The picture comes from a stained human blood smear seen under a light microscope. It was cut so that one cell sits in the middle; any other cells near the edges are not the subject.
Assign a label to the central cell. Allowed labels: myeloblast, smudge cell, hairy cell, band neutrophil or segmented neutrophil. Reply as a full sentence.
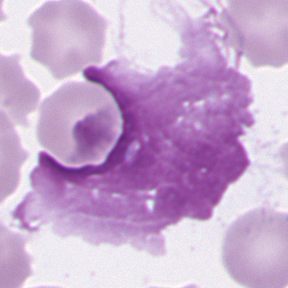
Positioned in the middle of the crop is a smudge cell.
